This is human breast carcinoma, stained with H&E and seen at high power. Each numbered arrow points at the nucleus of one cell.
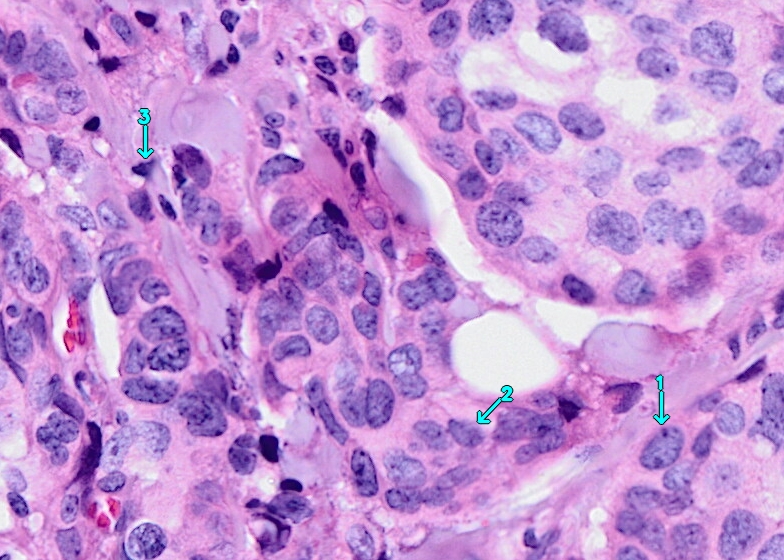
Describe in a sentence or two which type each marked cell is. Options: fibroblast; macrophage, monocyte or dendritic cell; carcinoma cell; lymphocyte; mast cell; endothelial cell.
Cell 1 is a carcinoma cell, cell 2 is a carcinoma cell and cell 3 is a lymphocyte.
